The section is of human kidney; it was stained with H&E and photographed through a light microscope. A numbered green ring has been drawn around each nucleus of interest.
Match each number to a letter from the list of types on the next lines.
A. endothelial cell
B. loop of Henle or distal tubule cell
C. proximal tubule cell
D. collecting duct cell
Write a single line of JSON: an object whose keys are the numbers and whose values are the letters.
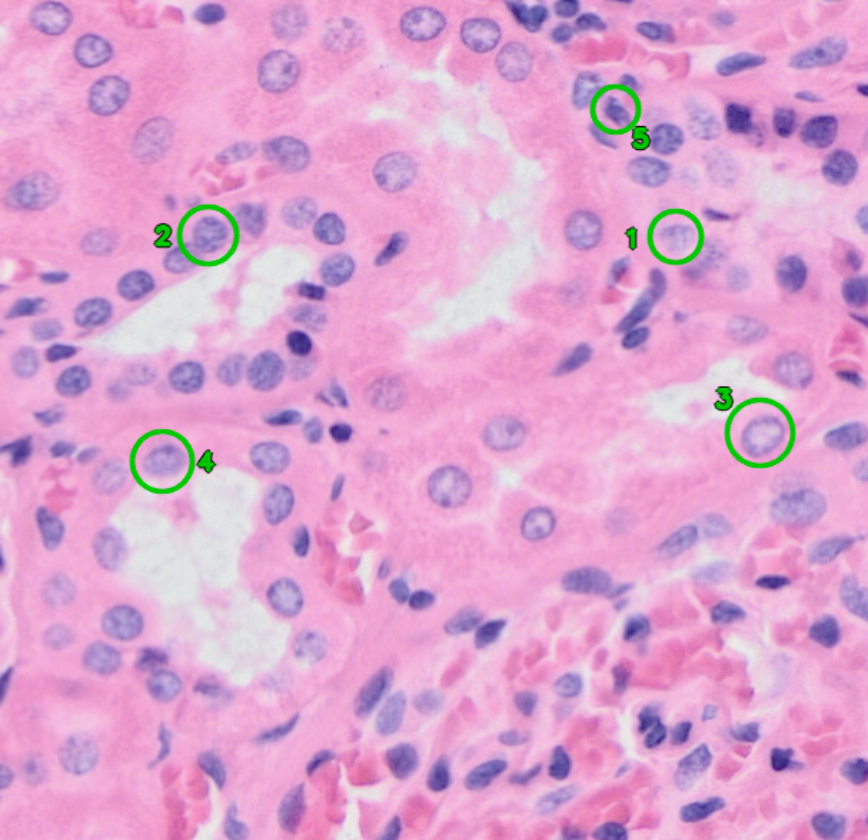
{"1": "D", "2": "D", "3": "C", "4": "B", "5": "A"}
